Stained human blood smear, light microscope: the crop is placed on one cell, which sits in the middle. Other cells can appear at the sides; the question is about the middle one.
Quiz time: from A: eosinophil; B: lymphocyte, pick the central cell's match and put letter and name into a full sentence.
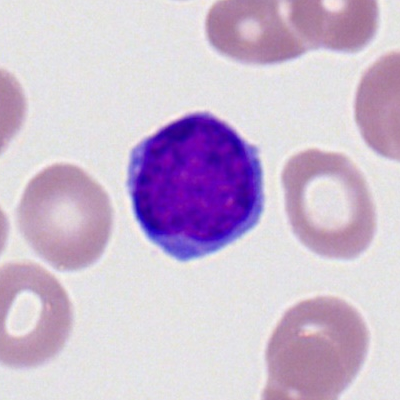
Option B is right, the centrally situated cell being a lymphocyte.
